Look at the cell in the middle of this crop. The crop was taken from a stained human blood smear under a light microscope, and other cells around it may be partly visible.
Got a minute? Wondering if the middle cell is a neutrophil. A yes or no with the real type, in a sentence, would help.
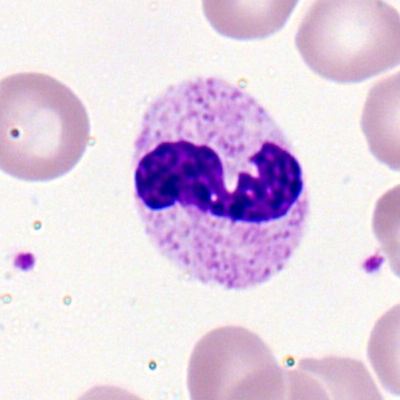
Yes, the one cell at the centre is a neutrophil.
